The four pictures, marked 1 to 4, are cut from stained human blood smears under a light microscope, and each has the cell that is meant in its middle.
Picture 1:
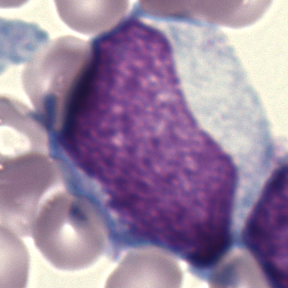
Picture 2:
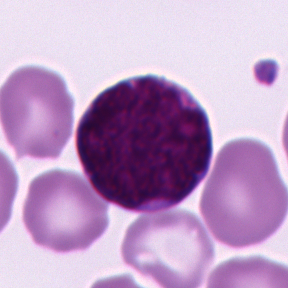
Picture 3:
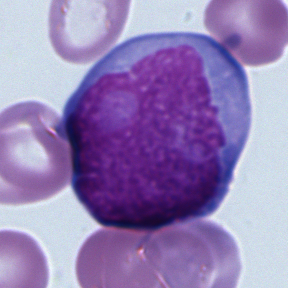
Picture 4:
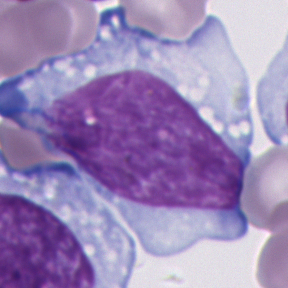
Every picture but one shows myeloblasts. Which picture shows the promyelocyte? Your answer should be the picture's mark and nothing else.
1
